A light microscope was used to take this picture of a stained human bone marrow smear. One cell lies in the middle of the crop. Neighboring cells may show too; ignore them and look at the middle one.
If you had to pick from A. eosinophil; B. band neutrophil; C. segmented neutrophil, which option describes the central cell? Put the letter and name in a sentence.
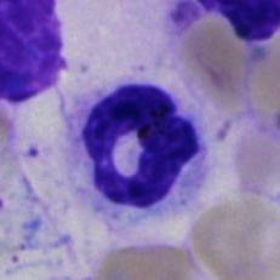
The correct response is option C, naming the cell in the middle as a segmented neutrophil.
